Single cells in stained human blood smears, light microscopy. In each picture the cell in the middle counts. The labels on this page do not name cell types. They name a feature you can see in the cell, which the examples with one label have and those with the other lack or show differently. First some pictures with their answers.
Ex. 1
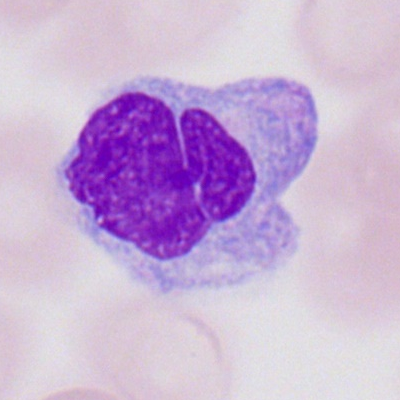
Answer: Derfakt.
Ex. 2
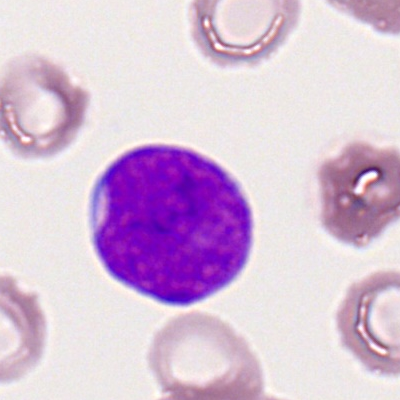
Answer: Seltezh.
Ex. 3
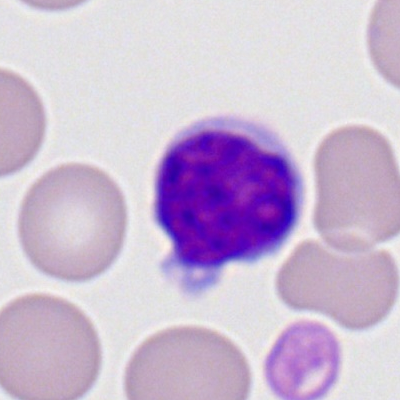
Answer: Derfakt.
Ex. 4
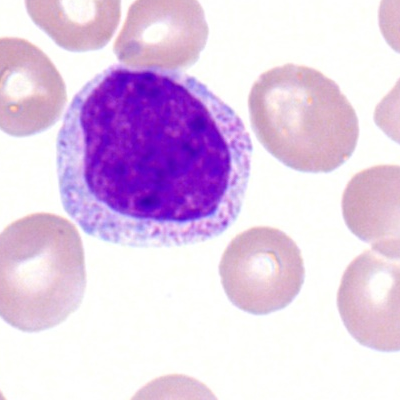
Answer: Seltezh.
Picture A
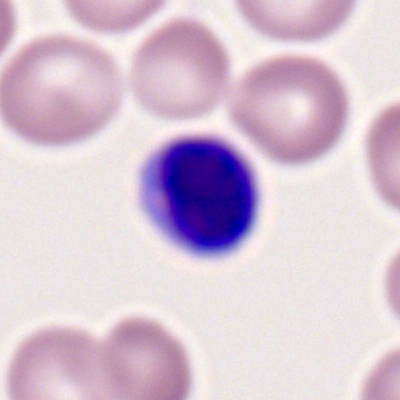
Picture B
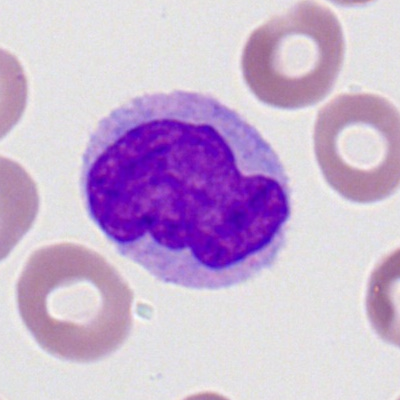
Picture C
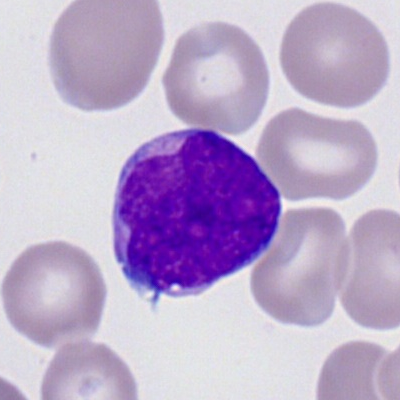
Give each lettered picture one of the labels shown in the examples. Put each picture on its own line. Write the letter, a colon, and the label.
A: Seltezh.
B: Derfakt.
C: Derfakt.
